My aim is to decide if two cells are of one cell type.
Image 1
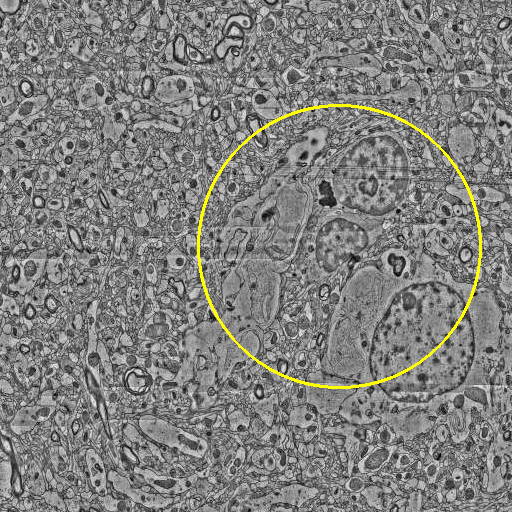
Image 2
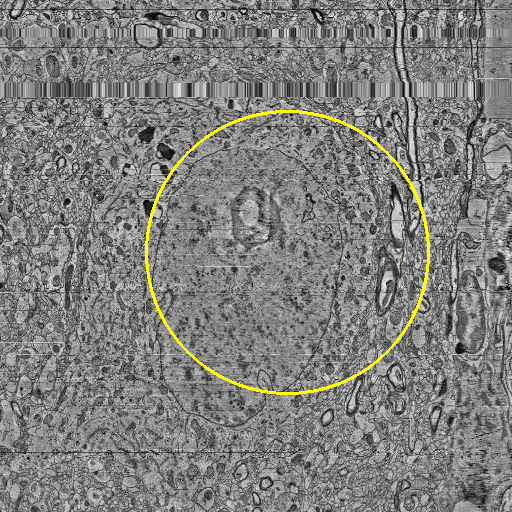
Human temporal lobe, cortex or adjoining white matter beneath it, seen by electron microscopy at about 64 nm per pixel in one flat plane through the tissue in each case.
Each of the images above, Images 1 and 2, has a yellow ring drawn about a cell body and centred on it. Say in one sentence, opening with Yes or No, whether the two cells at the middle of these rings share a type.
No, in Images 1 and 2 the cells at the middle of the rings fall into two types.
